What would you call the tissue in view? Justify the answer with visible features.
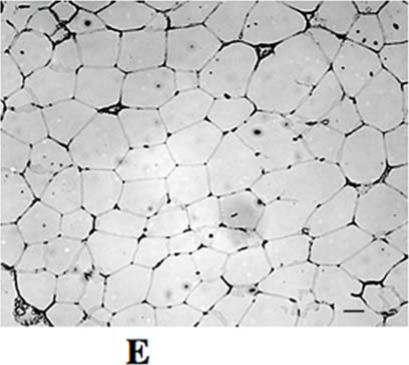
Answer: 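A meshwork of large empty polygonal cells separated by thin membranes. Small dark nuclei and capillaries lie in the narrow spaces between cells. So: adipose tissue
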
